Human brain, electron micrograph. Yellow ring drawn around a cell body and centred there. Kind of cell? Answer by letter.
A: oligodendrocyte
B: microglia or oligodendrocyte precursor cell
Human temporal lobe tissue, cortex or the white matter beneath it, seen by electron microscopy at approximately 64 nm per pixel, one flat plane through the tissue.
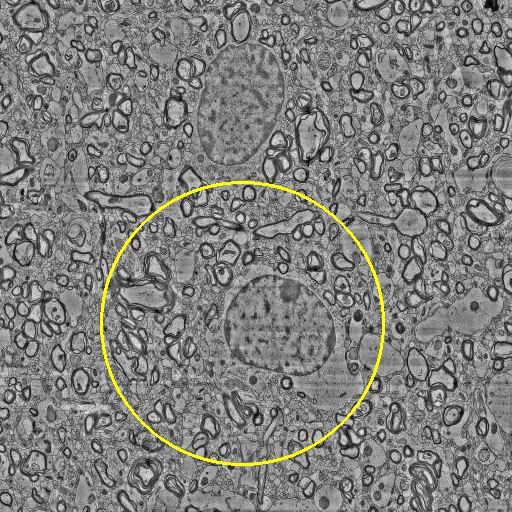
B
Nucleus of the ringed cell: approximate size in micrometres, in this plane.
The nucleus measures about 7 micrometers across in this plane.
